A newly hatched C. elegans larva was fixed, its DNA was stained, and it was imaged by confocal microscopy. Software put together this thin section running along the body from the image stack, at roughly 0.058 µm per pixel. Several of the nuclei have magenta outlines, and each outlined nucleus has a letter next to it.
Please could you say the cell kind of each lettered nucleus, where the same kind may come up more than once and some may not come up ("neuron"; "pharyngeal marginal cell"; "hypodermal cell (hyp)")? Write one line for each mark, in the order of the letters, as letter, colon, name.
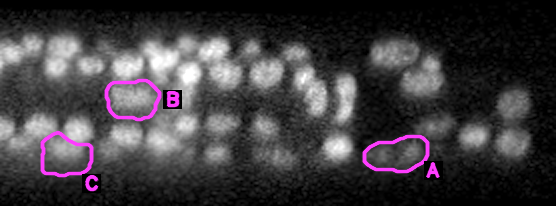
A: hypodermal cell (hyp)
B: pharyngeal marginal cell
C: neuron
